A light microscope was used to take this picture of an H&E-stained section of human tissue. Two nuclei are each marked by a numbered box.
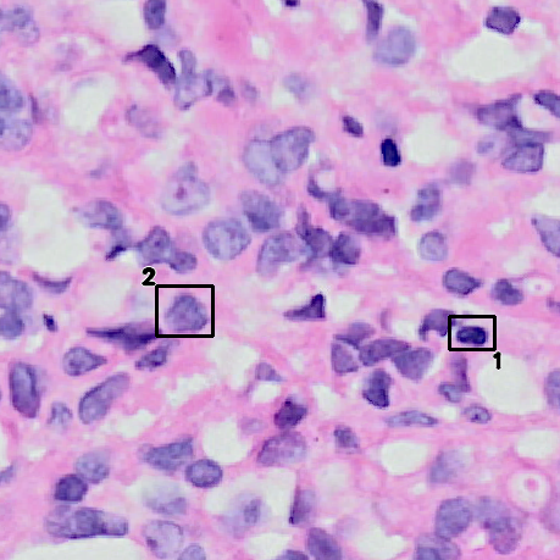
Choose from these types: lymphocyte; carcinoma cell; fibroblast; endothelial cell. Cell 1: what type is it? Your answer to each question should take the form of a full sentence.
The cell whose nucleus carries the number 1 is a lymphocyte.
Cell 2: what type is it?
The cell identified by the number 2 is a carcinoma cell.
